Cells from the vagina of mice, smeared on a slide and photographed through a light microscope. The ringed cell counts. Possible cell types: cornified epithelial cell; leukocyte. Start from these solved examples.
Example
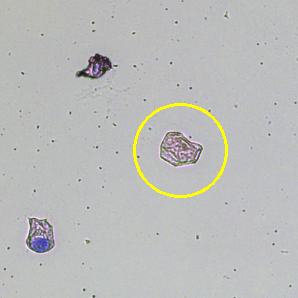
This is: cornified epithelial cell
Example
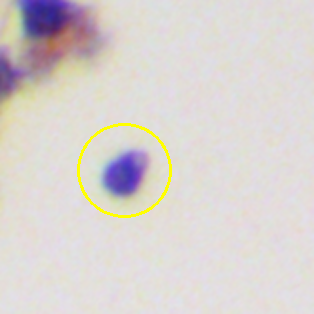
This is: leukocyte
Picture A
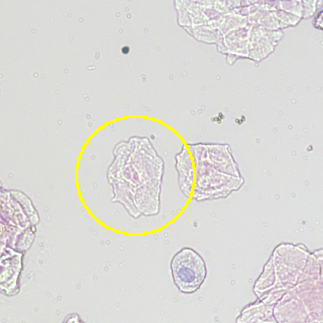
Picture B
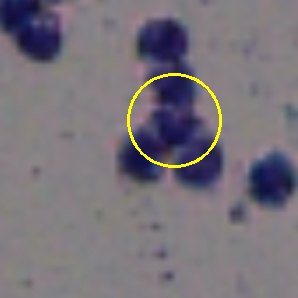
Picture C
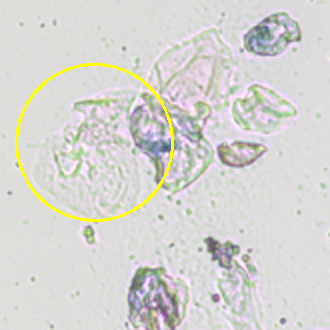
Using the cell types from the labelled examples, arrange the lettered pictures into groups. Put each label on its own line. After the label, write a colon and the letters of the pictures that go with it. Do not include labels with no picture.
cornified epithelial cell: A, C
leukocyte: B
